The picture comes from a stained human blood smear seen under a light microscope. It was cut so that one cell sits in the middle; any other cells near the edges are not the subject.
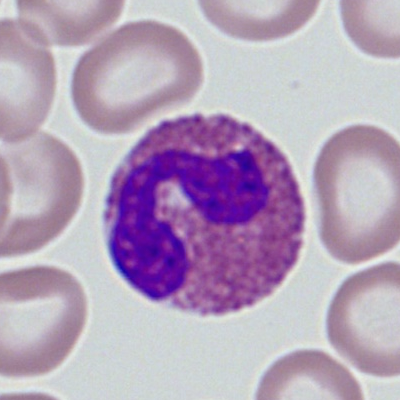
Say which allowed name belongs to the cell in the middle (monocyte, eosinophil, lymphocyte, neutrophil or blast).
eosinophil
